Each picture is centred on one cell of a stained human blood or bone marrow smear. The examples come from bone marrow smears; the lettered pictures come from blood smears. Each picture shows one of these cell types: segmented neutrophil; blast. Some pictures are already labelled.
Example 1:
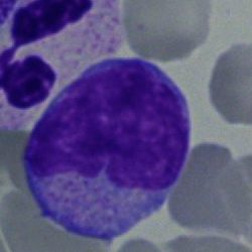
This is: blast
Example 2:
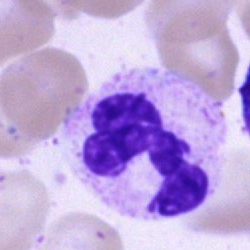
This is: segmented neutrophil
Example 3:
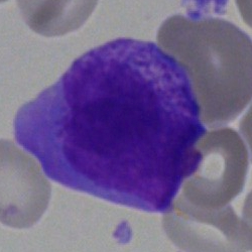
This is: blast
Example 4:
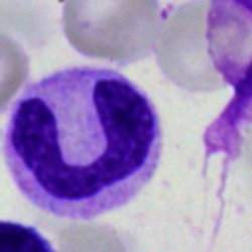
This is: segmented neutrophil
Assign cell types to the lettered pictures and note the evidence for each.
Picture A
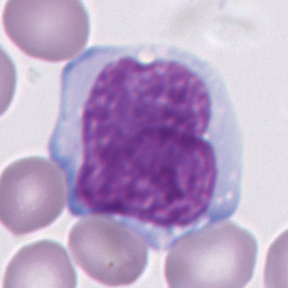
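Answer: blast. The nucleus fills most of the cell.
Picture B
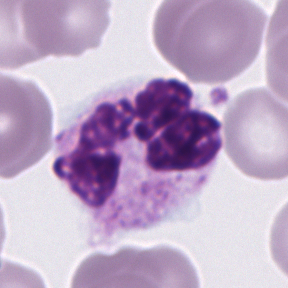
Answer: segmented neutrophil. The nucleus is divided into several separate lobes.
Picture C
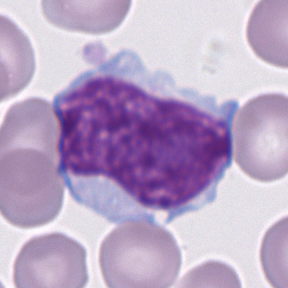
Answer: blast. The nucleus fills most of the cell, leaving a modest rim of cytoplasm.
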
